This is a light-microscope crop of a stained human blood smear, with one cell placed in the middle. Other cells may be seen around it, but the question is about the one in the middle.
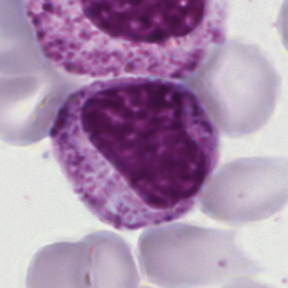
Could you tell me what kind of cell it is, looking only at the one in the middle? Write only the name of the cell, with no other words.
myelocyte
